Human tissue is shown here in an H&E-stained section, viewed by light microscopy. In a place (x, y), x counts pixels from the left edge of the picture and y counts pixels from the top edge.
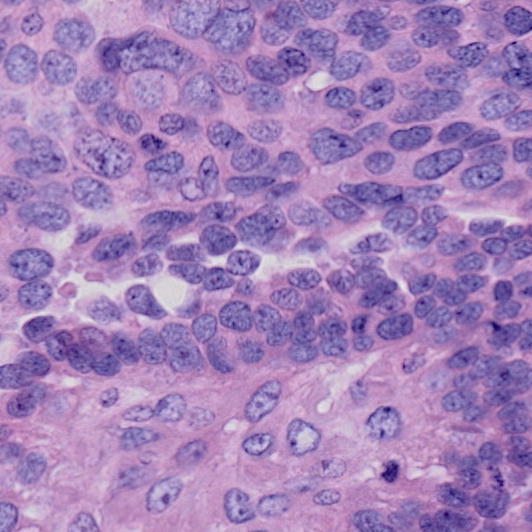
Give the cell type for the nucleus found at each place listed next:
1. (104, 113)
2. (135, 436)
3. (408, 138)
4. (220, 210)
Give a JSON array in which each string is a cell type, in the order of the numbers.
["carcinoma cell", "fibroblast", "carcinoma cell", "carcinoma cell"]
